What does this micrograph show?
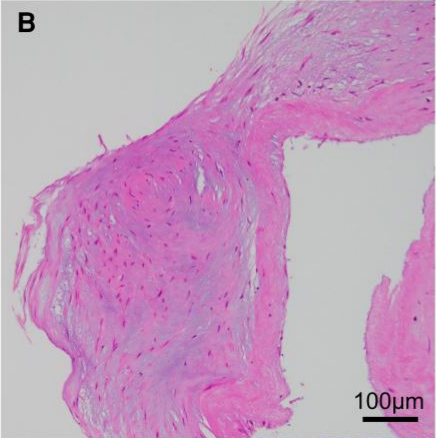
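A thick, folded band of pink, eosinophilic fibrillar tissue crosses the field, with a rounded nodular bulge on the left. Throughout it lie scattered fibroblasts with small, dark, elongated spindle-shaped nuclei, oriented mostly along the fibres and in places swirling around the nodule. Parts of the matrix look paler and faintly bluish, and some areas are glassy and homogeneous with few nuclei. The surface is ragged with loose fibrils. A separate strip of similar pink fibrous tissue lies at the right edge across a clear space.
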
